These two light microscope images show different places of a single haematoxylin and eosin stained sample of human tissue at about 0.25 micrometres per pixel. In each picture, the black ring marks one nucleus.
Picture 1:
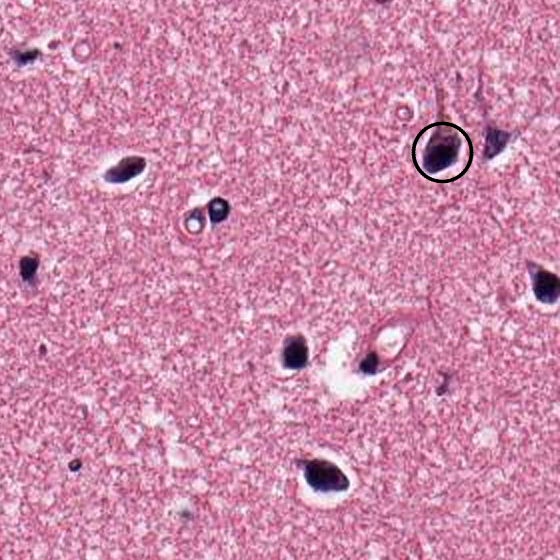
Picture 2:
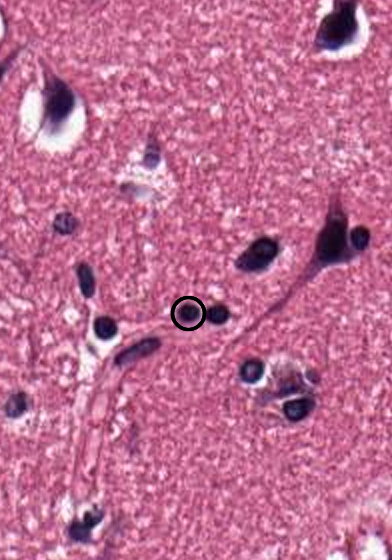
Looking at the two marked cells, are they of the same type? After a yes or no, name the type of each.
No, the first is a neuron and the second an oligodendrocyte.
